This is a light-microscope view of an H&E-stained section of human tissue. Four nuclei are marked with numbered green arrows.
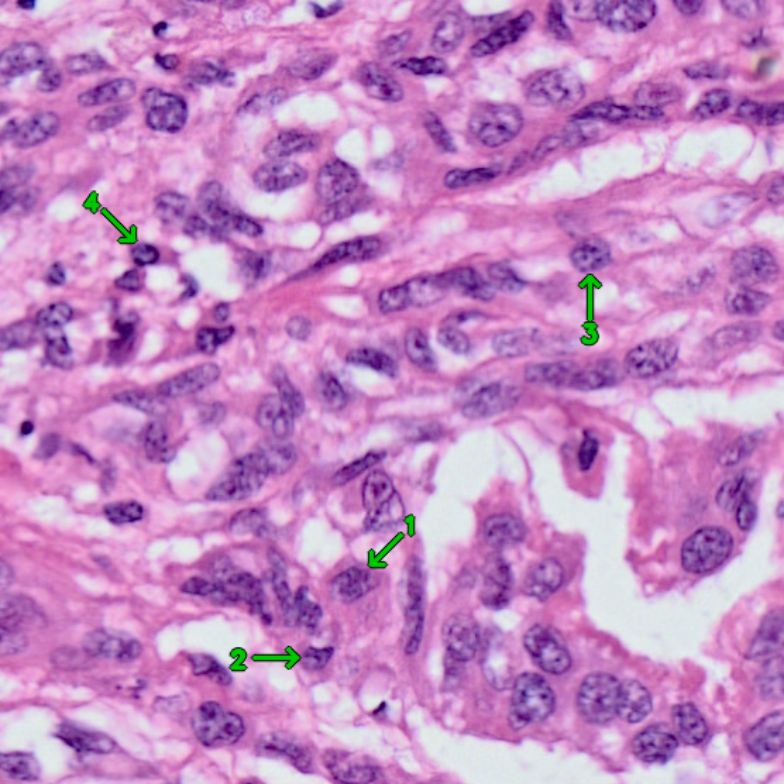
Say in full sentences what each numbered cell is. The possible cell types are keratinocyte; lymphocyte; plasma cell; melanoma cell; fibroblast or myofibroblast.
Cell 1 is a melanoma cell, cell 2 is a melanoma cell, cell 3 is a melanoma cell and cell 4 is a plasma cell.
